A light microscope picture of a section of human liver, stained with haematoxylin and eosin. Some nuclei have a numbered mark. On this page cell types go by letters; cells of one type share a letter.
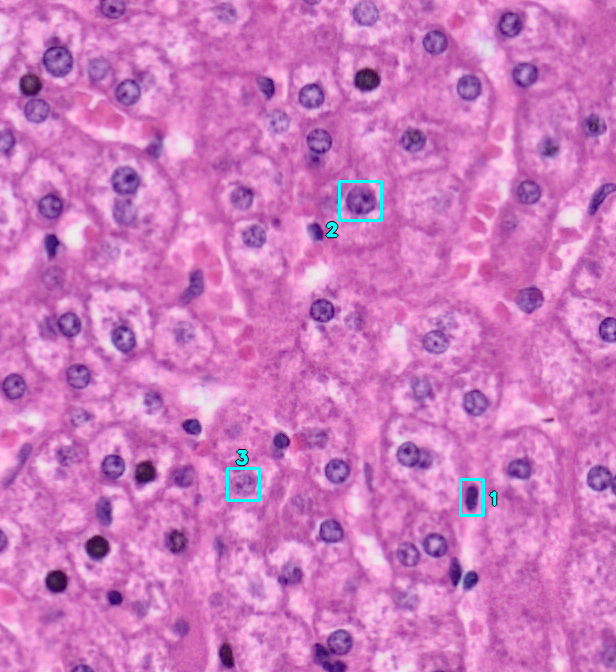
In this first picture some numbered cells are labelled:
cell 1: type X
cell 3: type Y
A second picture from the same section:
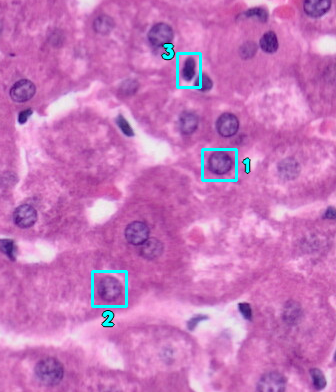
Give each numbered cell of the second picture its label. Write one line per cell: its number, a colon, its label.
1: type Y
2: type Y
3: type X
